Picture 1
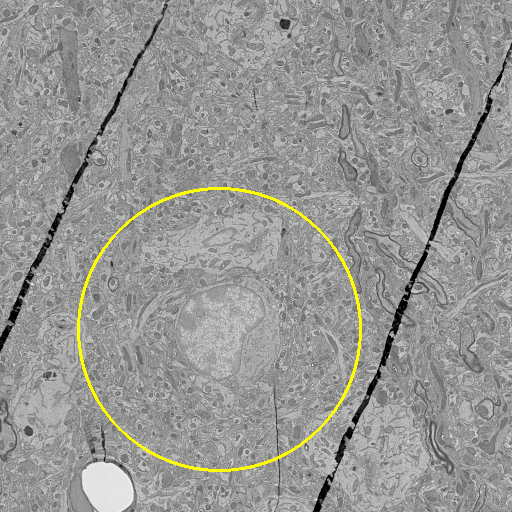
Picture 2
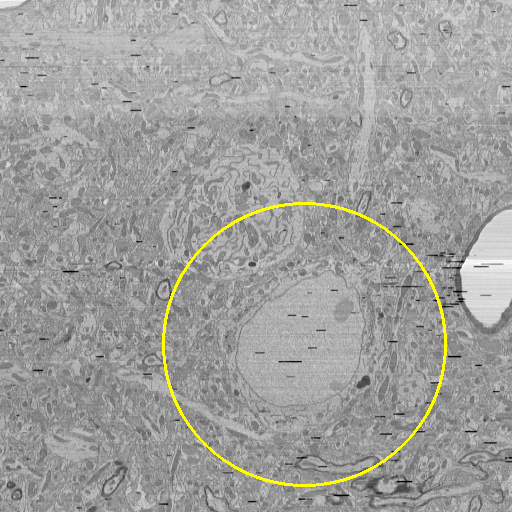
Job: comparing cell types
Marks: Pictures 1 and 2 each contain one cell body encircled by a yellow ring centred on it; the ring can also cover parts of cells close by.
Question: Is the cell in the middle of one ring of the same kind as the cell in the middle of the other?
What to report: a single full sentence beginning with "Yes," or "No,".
No, the cell at the ring centre in Picture 1 and its partner in Picture 2 are of two kinds.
